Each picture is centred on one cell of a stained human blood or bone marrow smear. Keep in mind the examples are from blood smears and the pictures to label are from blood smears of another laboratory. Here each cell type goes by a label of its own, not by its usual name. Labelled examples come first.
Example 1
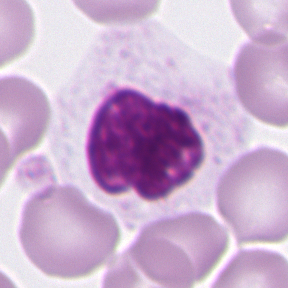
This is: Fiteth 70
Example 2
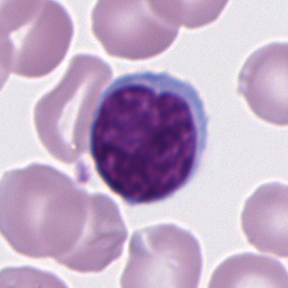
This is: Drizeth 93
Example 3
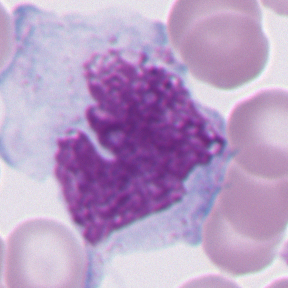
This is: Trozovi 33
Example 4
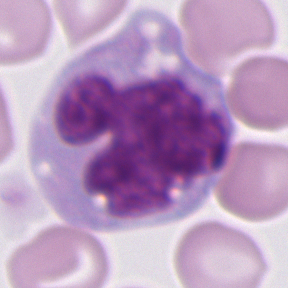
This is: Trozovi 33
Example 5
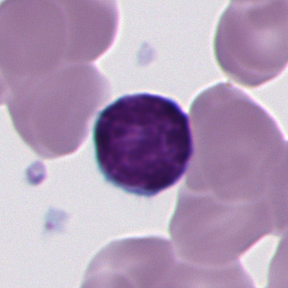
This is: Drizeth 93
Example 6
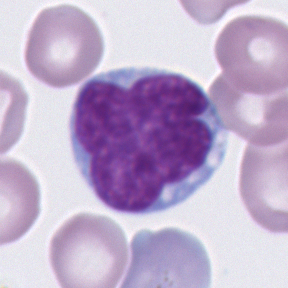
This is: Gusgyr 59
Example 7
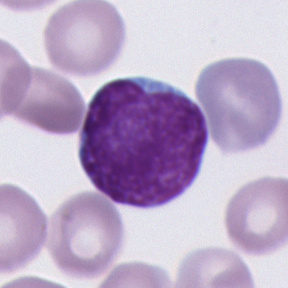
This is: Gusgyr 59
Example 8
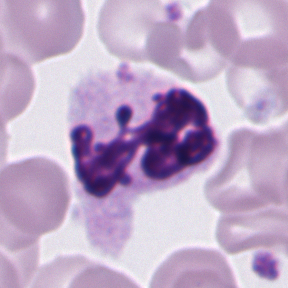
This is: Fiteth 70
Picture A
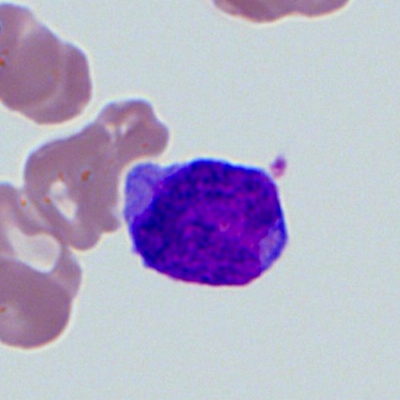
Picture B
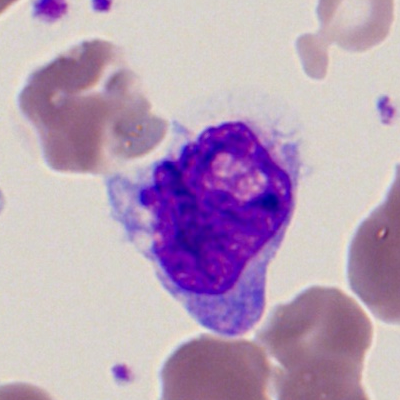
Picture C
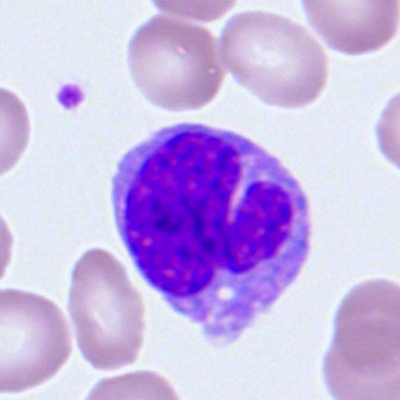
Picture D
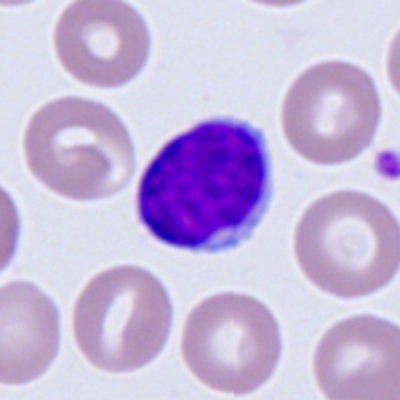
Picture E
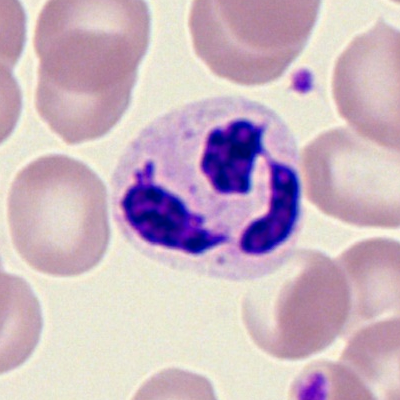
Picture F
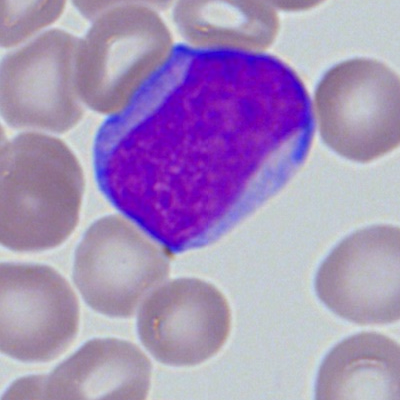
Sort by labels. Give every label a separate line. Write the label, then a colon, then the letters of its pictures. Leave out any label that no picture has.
Fiteth 70: E
Drizeth 93: A, D
Trozovi 33: B, C
Gusgyr 59: F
